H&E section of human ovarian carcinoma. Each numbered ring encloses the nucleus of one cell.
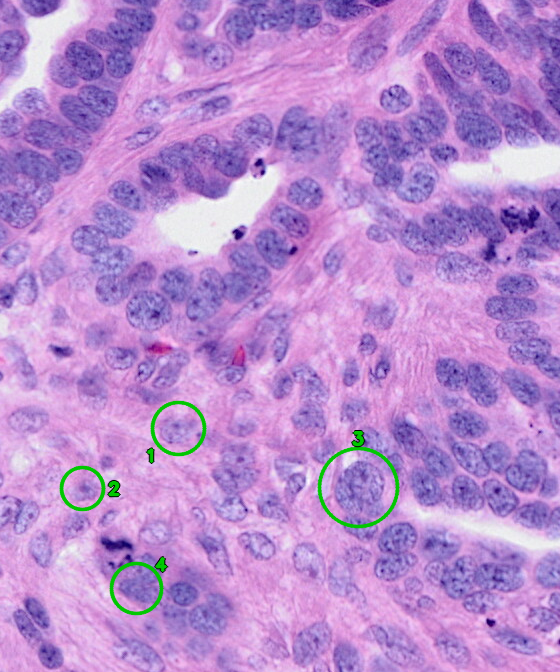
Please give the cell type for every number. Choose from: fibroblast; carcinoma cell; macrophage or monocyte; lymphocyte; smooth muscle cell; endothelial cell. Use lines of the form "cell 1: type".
cell 1: fibroblast
cell 2: fibroblast
cell 3: carcinoma cell
cell 4: carcinoma cell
